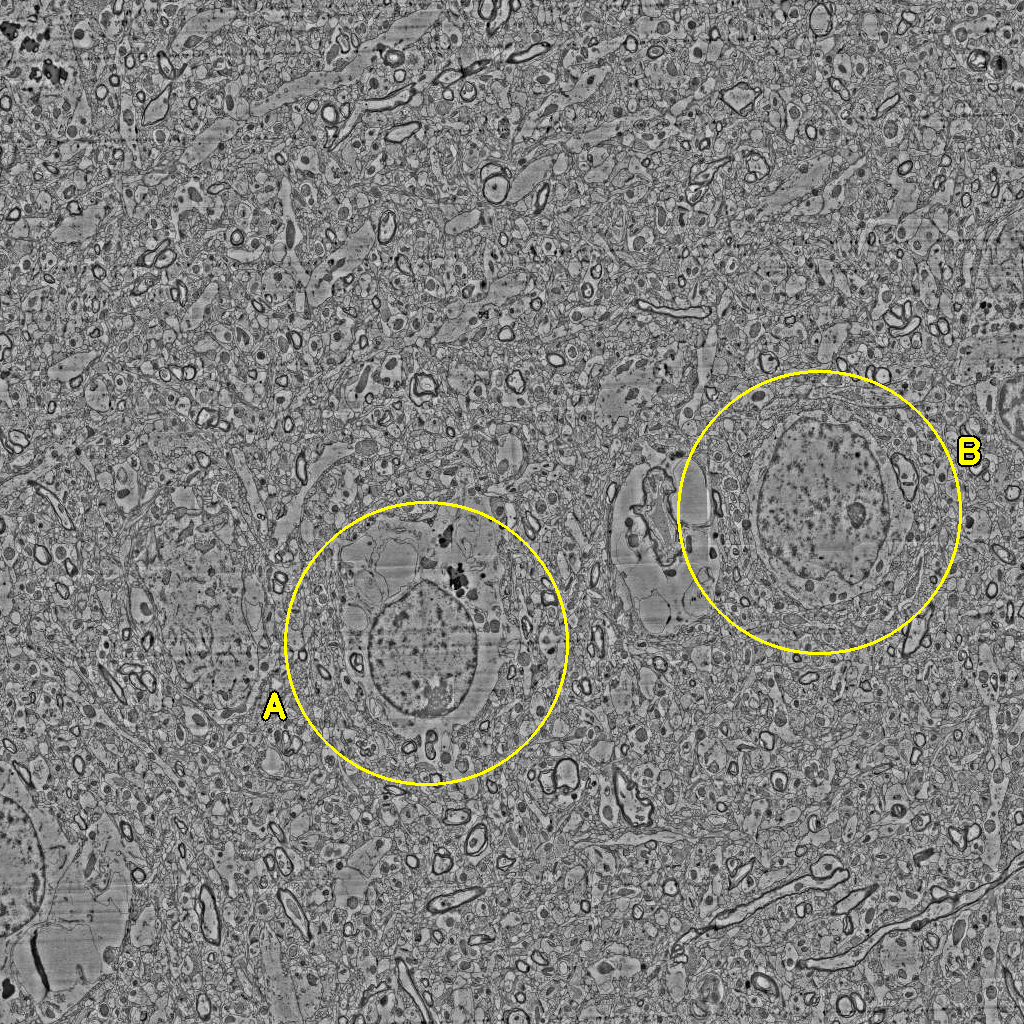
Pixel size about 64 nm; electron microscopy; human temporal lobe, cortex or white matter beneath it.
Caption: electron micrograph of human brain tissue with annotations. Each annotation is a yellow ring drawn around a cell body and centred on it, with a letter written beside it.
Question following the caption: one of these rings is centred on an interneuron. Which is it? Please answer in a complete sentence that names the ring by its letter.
The ring with the letter B is centred on it.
